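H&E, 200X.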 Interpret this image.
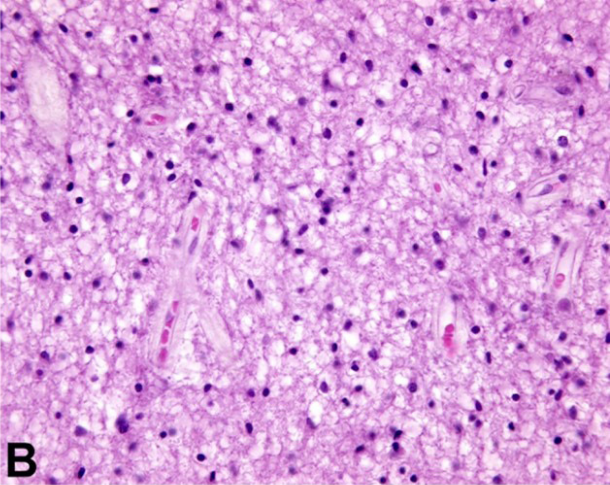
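Brain tissue showing spongiosis: the pink neuropil is broken up by numerous small clear vacuoles giving a sponge-like look. Small round dark glial nuclei are scattered evenly, and a few capillaries containing red blood cells cross the field.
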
